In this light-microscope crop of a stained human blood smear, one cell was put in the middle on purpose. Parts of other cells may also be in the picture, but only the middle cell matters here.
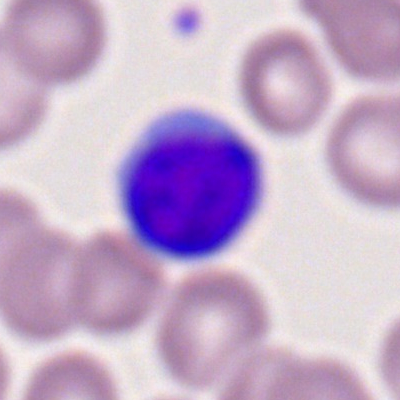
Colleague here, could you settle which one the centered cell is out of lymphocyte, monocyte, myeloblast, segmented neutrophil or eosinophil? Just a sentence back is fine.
The cell under consideration, at the middle of the crop, is a lymphocyte.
